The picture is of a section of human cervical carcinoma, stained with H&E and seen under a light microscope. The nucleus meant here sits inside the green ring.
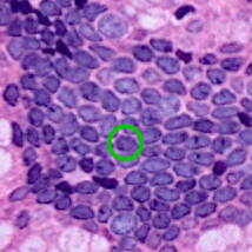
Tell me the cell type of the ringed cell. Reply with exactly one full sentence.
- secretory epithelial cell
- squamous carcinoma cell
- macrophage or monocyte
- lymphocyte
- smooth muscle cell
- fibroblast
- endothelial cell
So far as cell type goes, the ringed cell is a secretory epithelial cell.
